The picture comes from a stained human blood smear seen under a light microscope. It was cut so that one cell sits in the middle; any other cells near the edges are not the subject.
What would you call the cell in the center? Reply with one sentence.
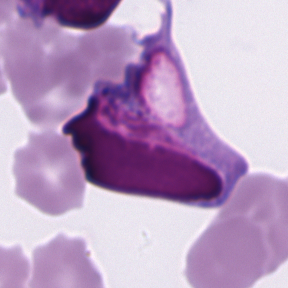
The cell centered in this field of view is a myeloblast.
